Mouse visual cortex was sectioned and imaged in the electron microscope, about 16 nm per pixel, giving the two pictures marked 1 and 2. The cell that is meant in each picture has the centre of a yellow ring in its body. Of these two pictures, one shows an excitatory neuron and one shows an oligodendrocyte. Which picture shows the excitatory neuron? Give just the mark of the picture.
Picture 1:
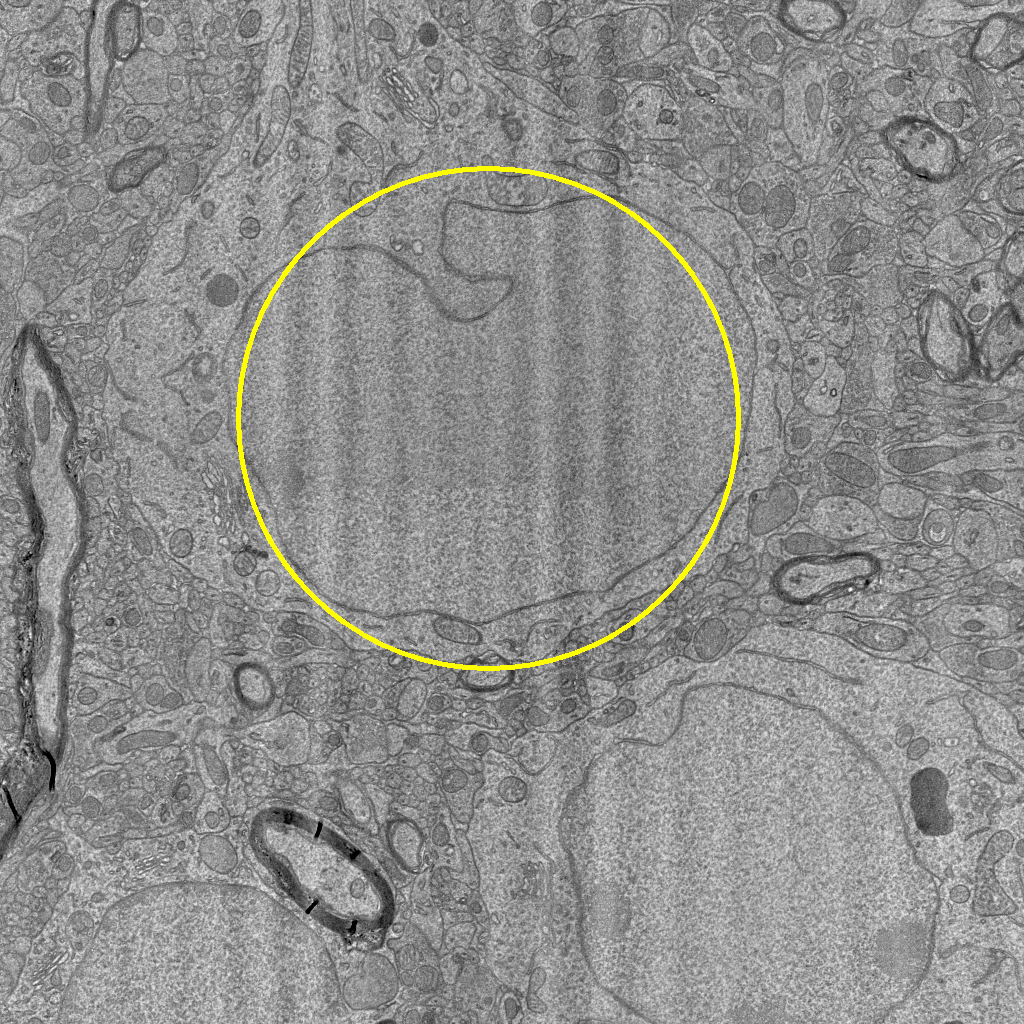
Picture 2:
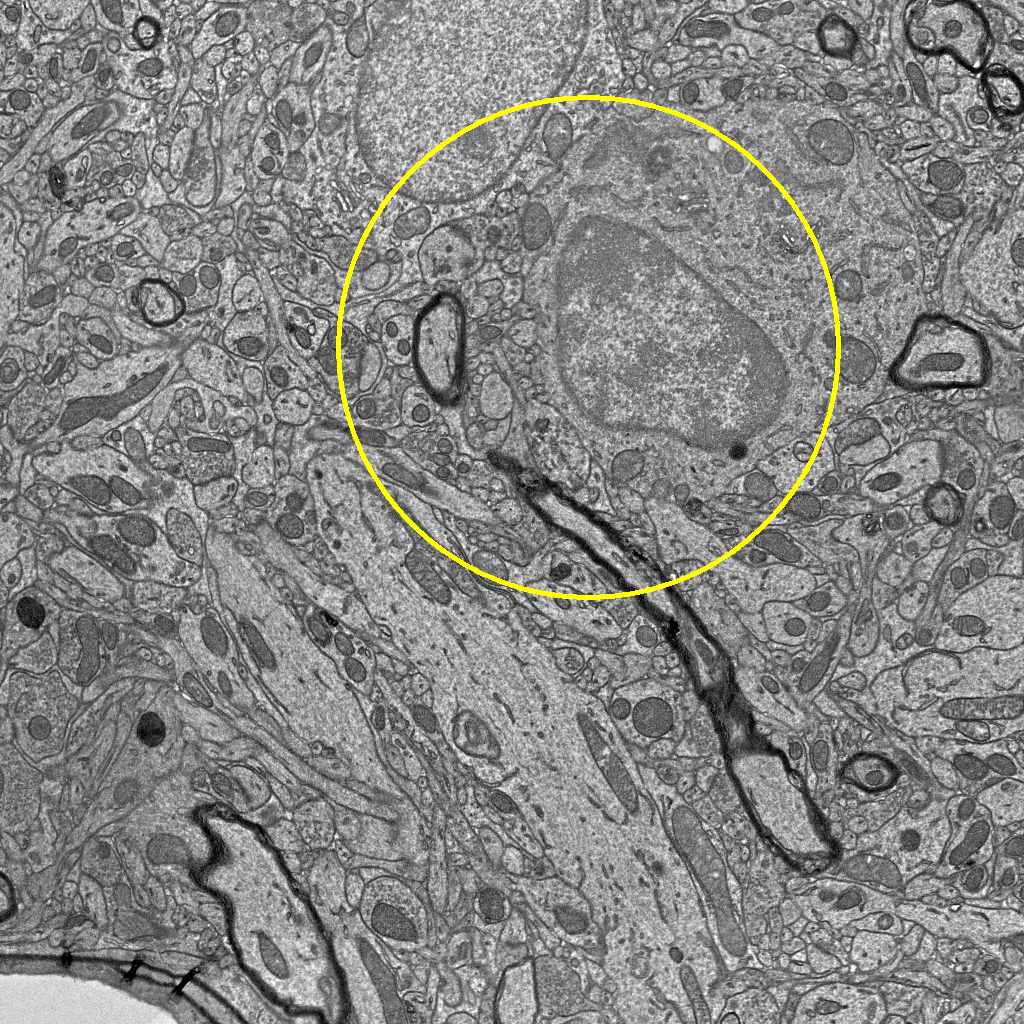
1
